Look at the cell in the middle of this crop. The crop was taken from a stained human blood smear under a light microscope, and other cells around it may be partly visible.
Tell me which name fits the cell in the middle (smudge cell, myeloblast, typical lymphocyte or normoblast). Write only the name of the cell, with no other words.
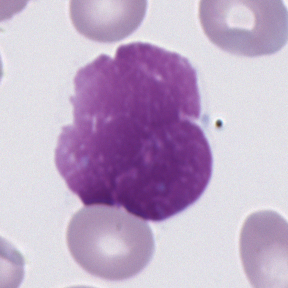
smudge cell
